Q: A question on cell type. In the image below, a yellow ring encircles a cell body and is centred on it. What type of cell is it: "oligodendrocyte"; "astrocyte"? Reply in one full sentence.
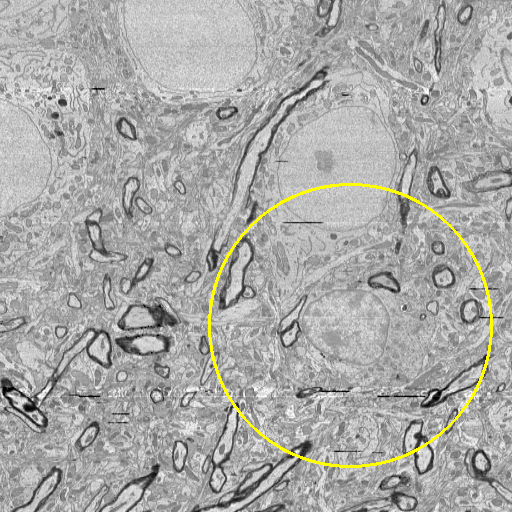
It is an oligodendrocyte whose cell body sits at the centre of the yellow ring in the image.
